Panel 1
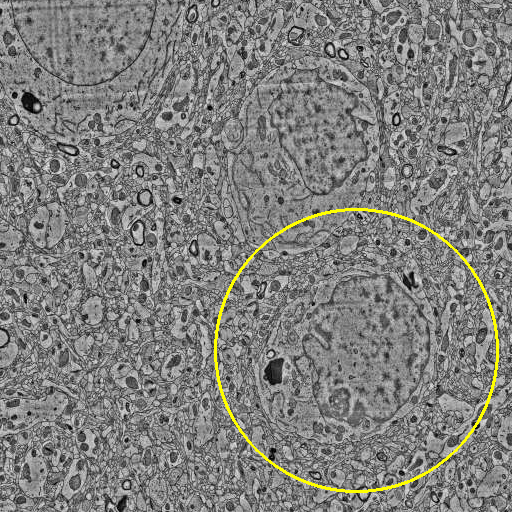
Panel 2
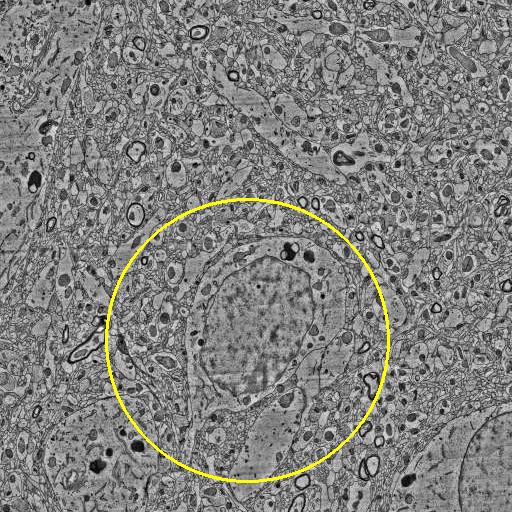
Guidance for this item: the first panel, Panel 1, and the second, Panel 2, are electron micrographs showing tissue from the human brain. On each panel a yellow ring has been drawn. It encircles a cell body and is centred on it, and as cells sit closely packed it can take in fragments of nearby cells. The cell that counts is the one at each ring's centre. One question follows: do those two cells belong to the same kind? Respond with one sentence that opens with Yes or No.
Yes, the cells at the ring centres in Panel 1 and Panel 2 are of one kind.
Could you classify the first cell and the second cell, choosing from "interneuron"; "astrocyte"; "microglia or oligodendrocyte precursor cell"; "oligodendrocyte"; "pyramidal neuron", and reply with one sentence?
In both pictures the ring is centred on an interneuron.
